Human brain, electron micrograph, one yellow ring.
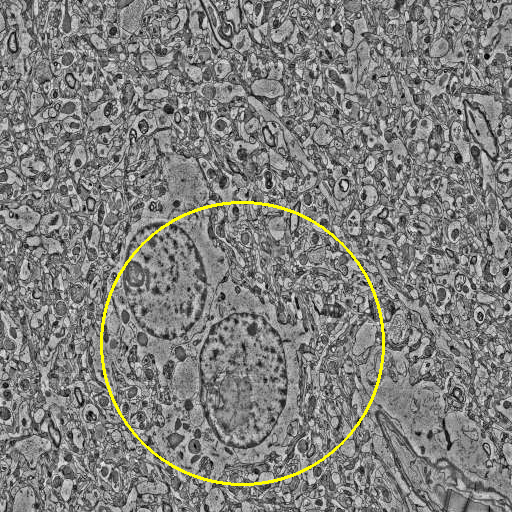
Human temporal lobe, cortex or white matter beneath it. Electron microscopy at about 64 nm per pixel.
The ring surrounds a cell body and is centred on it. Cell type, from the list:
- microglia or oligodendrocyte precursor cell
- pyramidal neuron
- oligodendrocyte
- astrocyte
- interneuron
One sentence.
The yellow ring circles an astrocyte.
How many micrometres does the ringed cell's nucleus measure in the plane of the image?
The nucleus of the ringed cell is clearly longer than it is wide in this plane, about 9 by 6 micrometres.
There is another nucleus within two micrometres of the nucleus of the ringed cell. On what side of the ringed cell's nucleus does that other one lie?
The other nucleus appears to the upper left of it.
